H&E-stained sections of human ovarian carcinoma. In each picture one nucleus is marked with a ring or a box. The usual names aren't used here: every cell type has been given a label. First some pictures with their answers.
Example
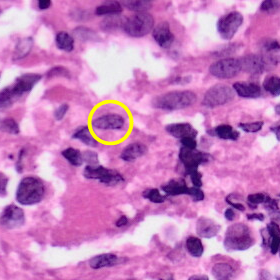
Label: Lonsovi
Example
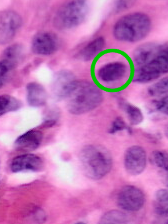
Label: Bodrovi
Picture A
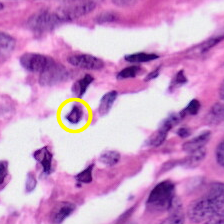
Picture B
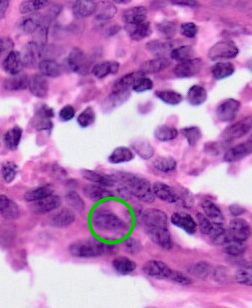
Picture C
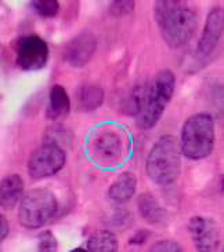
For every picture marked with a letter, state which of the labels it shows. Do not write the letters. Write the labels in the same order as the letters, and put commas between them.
Bodrovi, Bodrovi, Lonsovi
